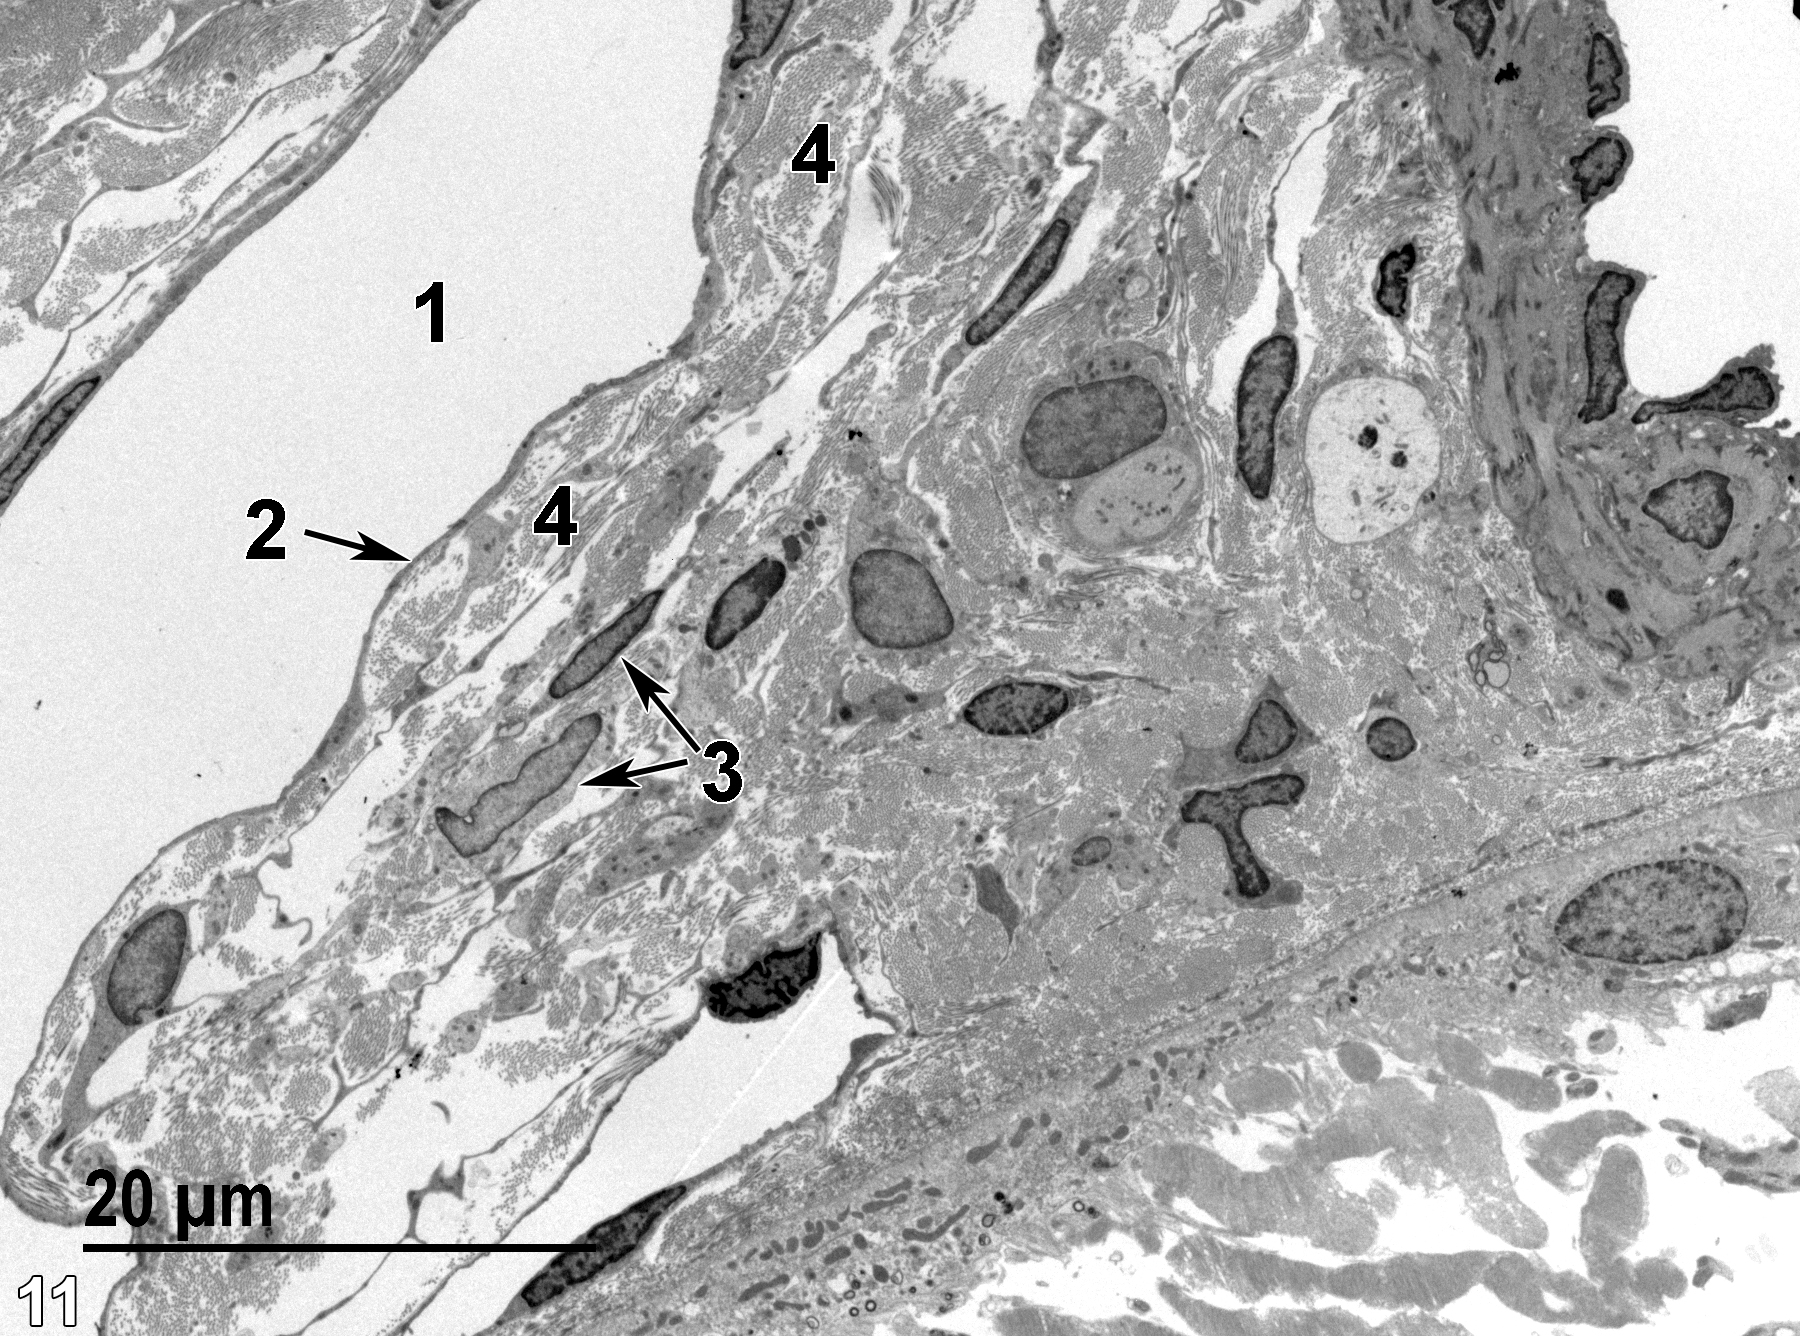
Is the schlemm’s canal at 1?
Yes.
